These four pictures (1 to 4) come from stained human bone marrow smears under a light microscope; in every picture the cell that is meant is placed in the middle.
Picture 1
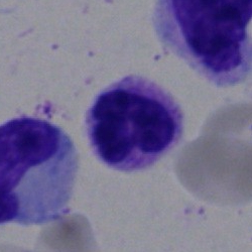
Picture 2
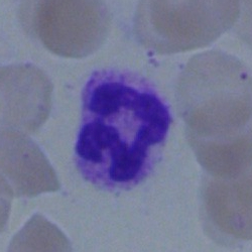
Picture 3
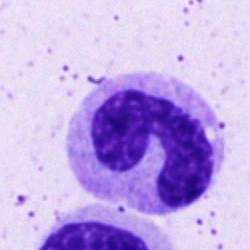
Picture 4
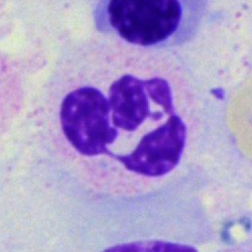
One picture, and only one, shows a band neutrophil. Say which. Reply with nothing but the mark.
3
